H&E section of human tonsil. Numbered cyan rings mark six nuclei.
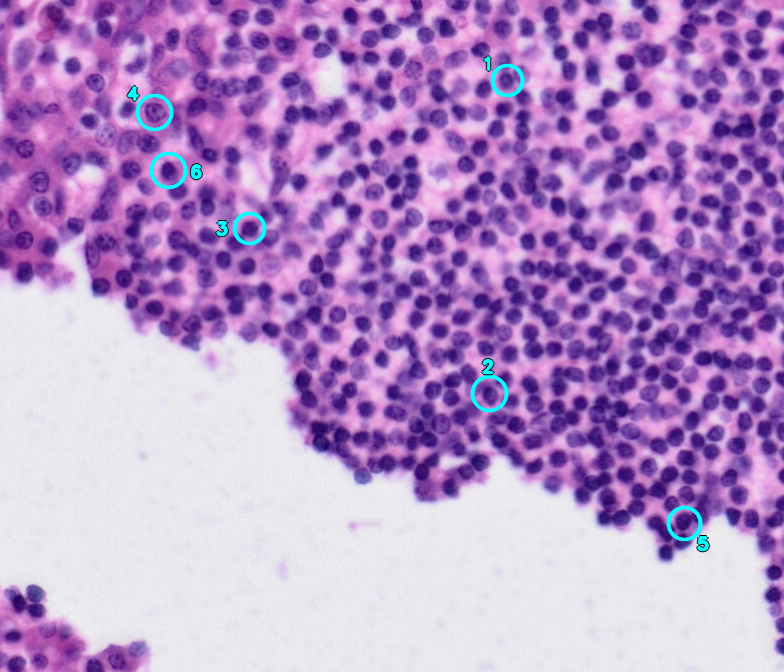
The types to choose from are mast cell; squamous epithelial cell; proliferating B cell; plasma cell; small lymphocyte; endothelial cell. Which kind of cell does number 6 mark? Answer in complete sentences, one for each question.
In the marked set, the cell given number 6 is a plasma cell.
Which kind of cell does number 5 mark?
Cell 5 should be recorded as a small lymphocyte.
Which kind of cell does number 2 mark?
At number 2, the marked cell is a small lymphocyte.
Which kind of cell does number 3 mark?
Denoted by the label 3 in the section is a small lymphocyte.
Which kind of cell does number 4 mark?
In this section, the cell numbered 4 is a plasma cell.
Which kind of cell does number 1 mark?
To a small lymphocyte belongs the nucleus marked 1.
